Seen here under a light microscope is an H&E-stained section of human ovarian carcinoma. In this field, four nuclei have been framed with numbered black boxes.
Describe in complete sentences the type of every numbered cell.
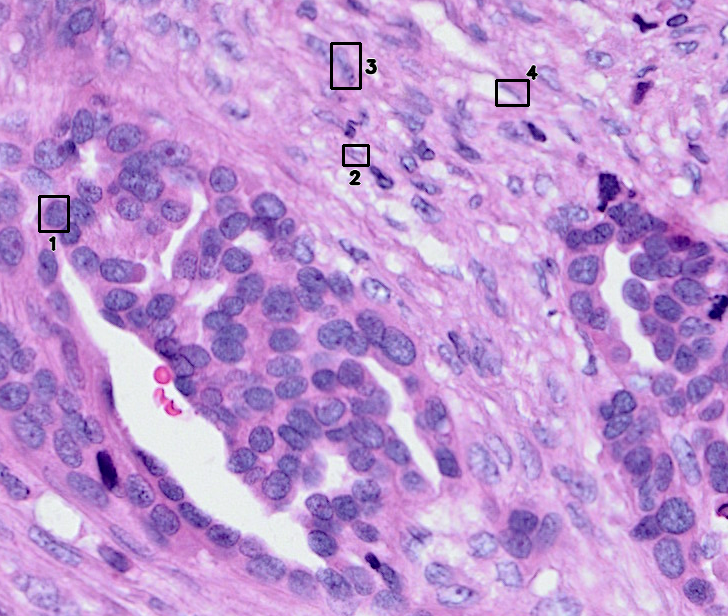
Cell 1 is a carcinoma cell. Cells 2, 3 and 4 are fibroblasts.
